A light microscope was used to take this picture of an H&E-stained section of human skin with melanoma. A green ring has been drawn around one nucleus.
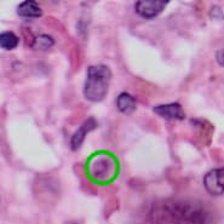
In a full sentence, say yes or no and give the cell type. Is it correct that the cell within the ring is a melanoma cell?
No, what the cell within the ring represents is a macrophage or monocyte rather than a melanoma cell.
